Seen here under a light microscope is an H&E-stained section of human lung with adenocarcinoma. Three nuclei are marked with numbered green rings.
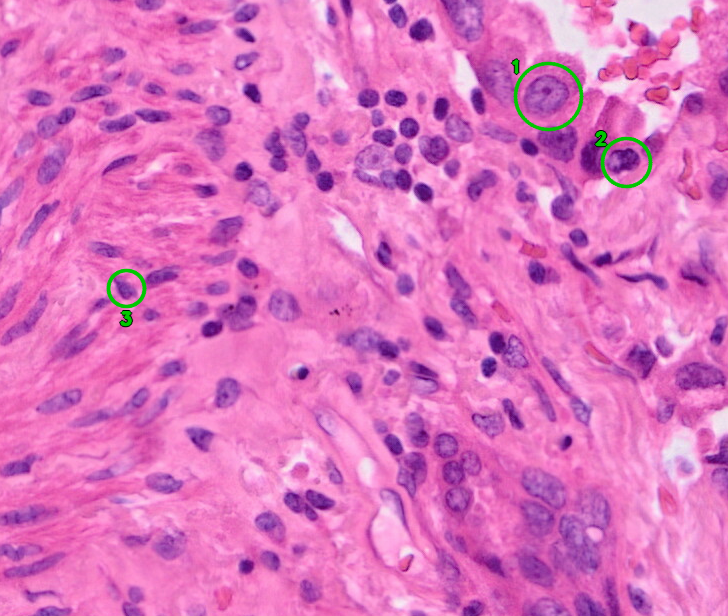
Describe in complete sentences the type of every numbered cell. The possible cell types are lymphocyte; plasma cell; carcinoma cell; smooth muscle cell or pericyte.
Cell 1 is a carcinoma cell, cell 2 is a carcinoma cell and cell 3 is a smooth muscle cell or pericyte.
